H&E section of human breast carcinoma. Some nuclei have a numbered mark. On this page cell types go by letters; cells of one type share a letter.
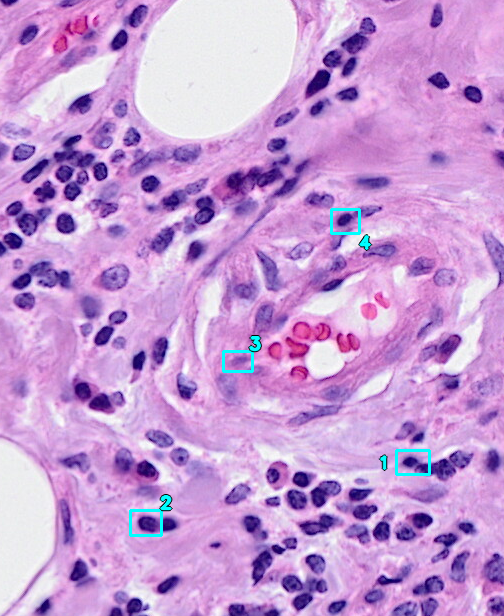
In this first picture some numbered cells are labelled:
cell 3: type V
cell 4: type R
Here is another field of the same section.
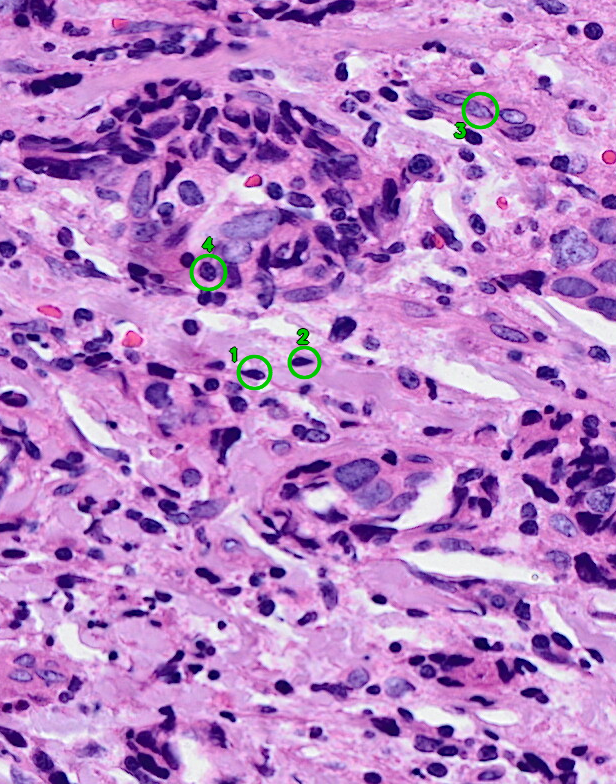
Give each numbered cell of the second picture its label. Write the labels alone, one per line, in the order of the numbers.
type R
type R
type V
type R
